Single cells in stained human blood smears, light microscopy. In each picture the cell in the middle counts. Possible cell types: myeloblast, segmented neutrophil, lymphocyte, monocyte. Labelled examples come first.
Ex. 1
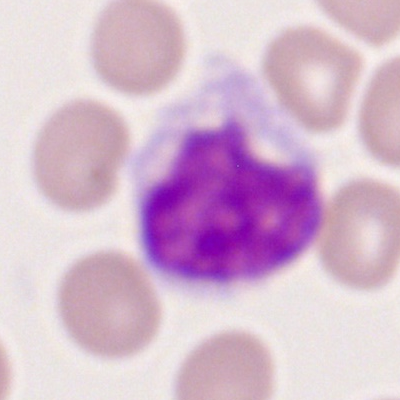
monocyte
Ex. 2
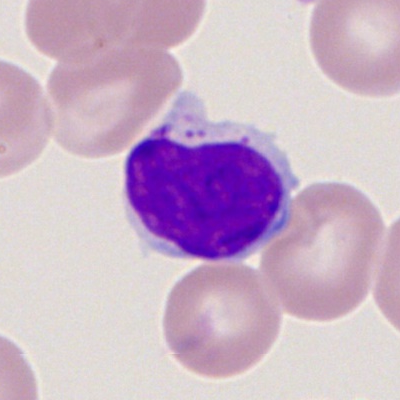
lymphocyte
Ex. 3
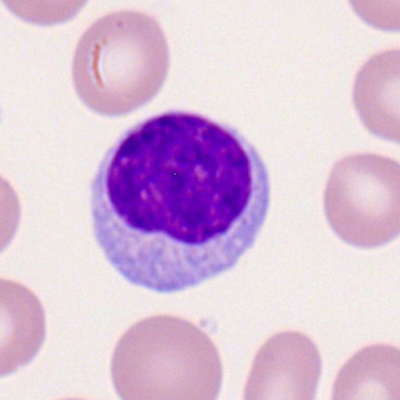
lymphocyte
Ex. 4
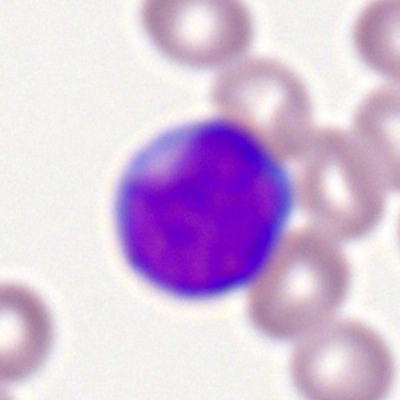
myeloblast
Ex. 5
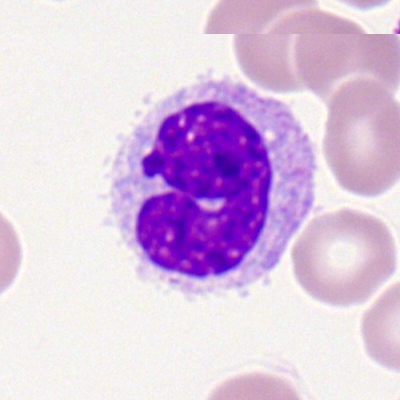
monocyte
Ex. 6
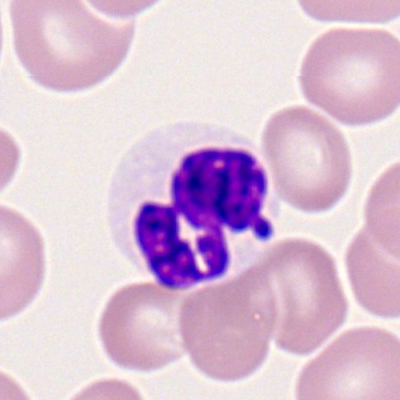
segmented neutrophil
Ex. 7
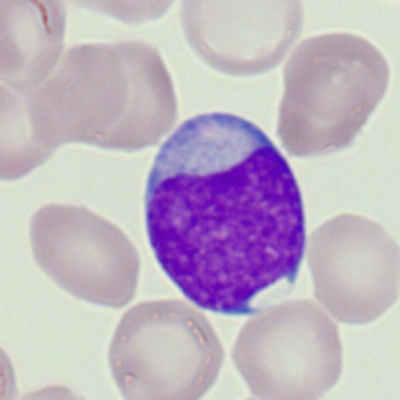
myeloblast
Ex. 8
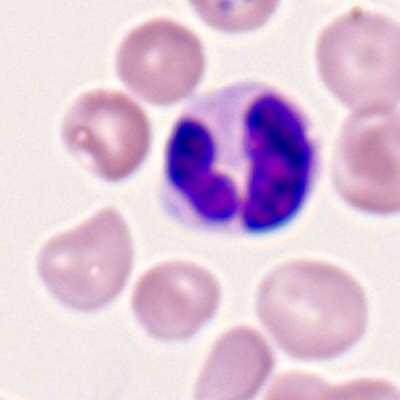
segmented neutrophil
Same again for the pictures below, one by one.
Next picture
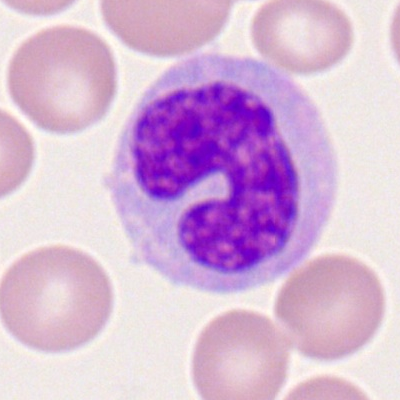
monocyte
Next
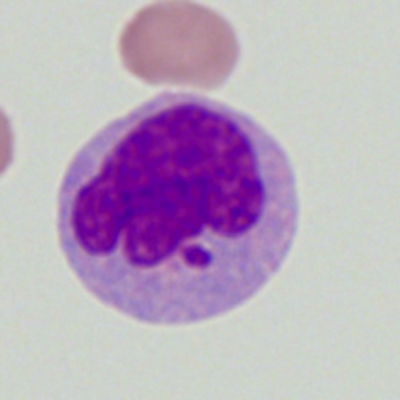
monocyte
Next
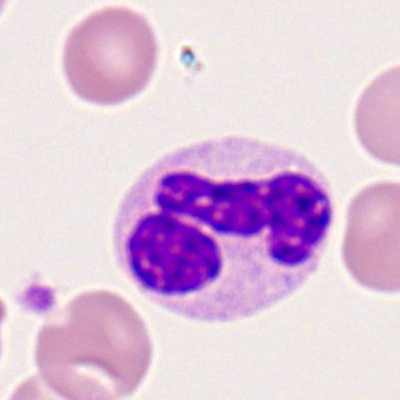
segmented neutrophil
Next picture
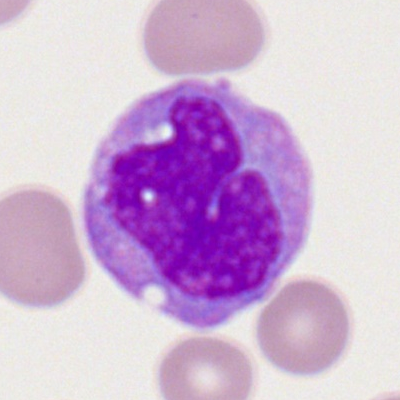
monocyte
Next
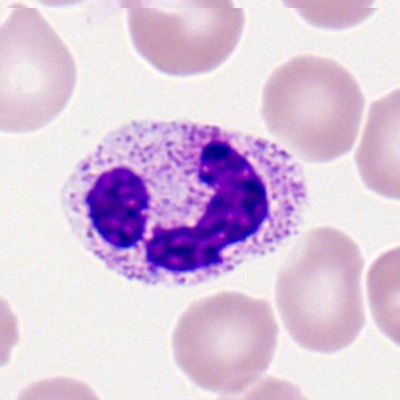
segmented neutrophil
